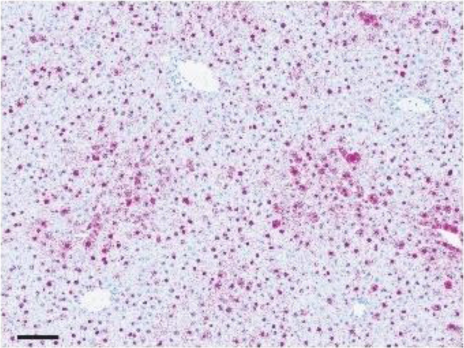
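This is liver parenchyma made of densely packed hepatocytes, polygonal cells with round, centrally placed nuclei, under a pale blue counterstain. The labelled cells are spread throughout the field rather than confined to one spot, with denser clusters in some areas. A few round, empty vessel lumina interrupt the solid sheets of cells. The overall architecture of the liver is intact, with no visible necrosis or loss of tissue.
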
